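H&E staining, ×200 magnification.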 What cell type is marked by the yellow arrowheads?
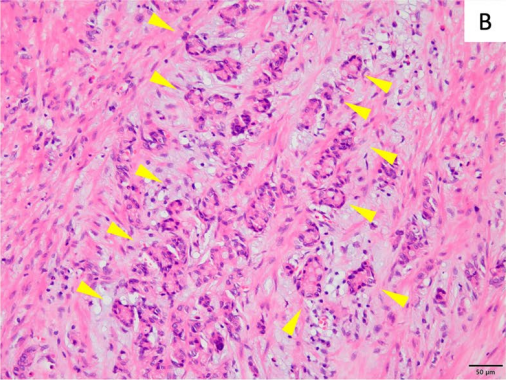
Tumor cells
